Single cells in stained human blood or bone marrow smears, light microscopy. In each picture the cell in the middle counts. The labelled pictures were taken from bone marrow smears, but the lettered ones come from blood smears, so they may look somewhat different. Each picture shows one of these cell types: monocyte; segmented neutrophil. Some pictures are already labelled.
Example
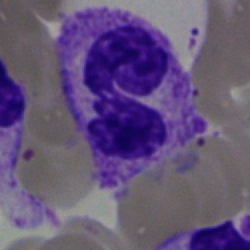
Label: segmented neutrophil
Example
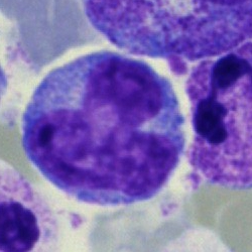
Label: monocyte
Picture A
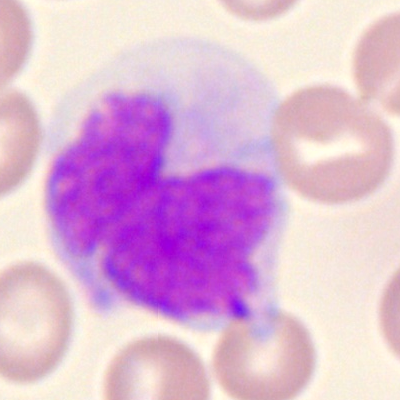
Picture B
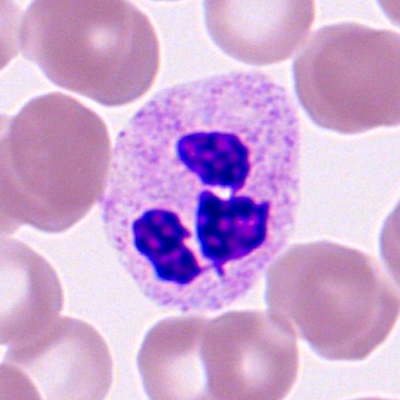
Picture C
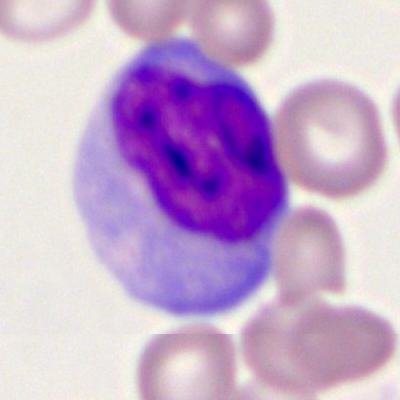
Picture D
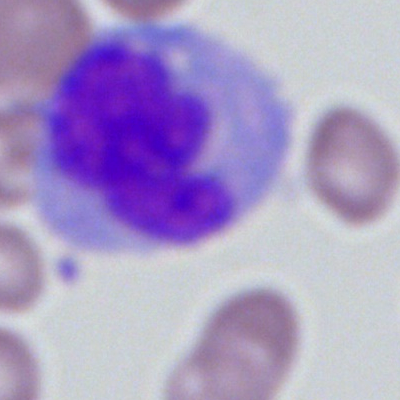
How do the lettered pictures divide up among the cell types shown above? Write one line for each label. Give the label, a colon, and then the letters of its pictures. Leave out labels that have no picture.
monocyte: A, C, D
segmented neutrophil: B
